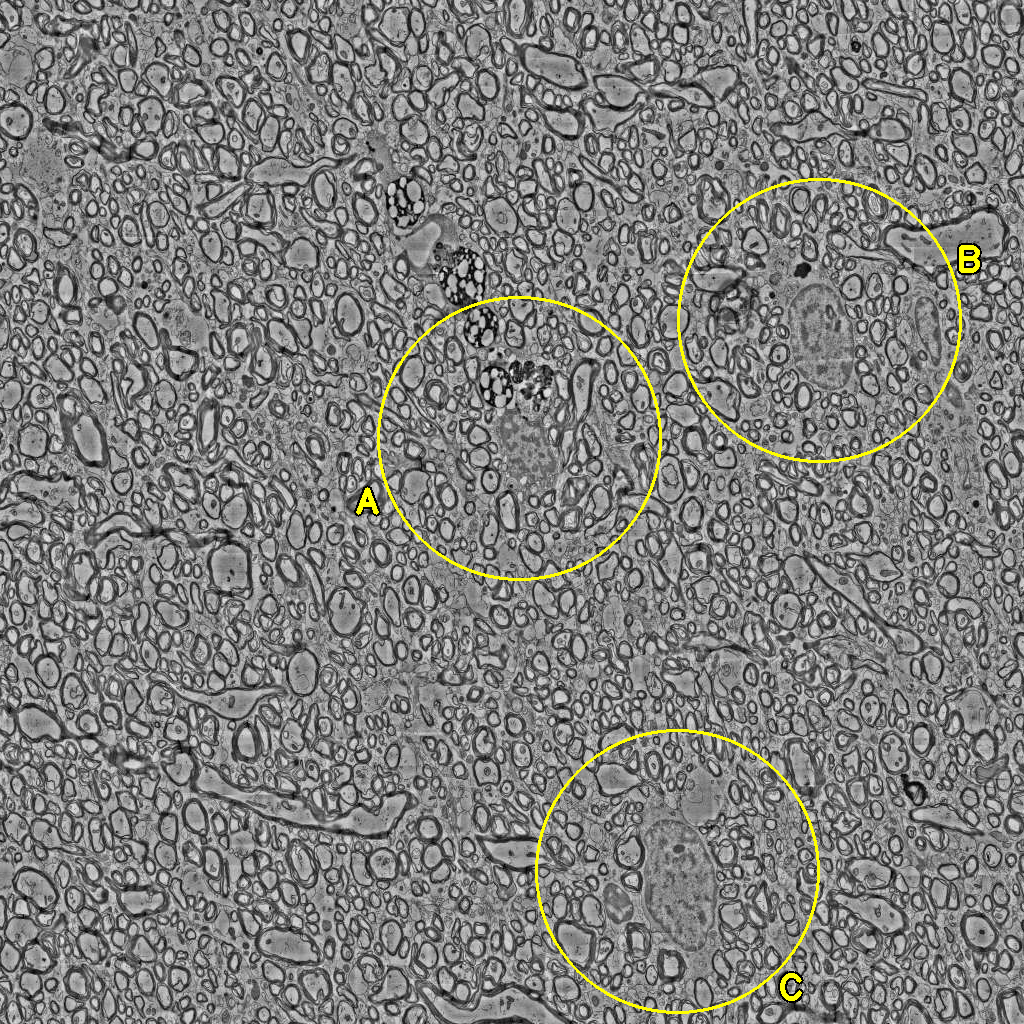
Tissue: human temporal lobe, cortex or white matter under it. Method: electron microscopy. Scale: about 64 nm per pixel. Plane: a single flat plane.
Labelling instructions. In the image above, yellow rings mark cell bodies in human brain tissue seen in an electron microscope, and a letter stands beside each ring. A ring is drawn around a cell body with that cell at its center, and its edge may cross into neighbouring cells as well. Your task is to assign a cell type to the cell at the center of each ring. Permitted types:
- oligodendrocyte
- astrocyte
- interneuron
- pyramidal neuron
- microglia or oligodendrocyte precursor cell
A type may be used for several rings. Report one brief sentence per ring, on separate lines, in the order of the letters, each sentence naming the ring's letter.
The cell at the center of ring A is an astrocyte.
The cell at the center of ring B is an oligodendrocyte.
The cell at the center of ring C is an oligodendrocyte.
